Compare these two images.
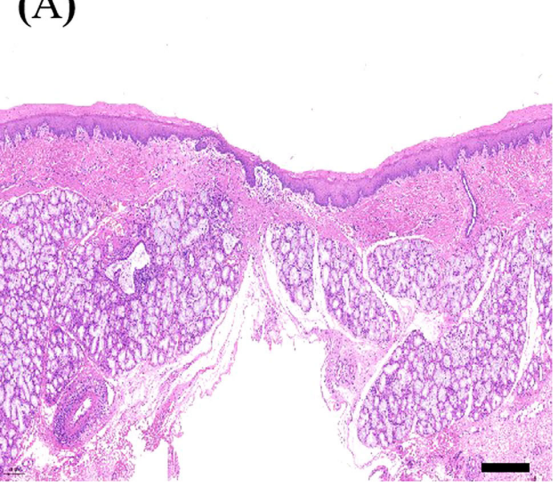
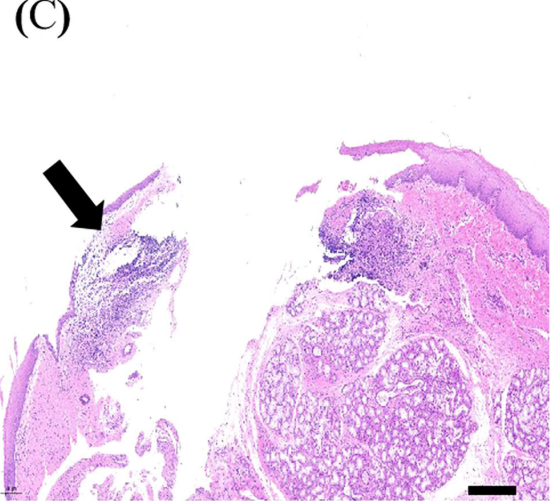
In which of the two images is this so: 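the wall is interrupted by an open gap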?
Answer: The second image.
